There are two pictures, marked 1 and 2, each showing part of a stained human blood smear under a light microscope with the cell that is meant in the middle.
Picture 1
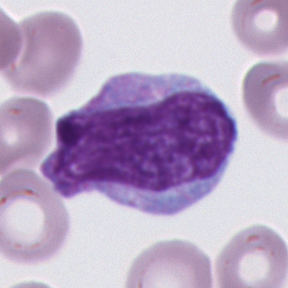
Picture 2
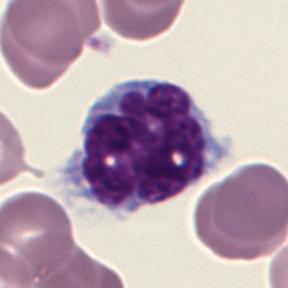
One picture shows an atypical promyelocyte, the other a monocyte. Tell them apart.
1: atypical promyelocyte
2: monocyte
